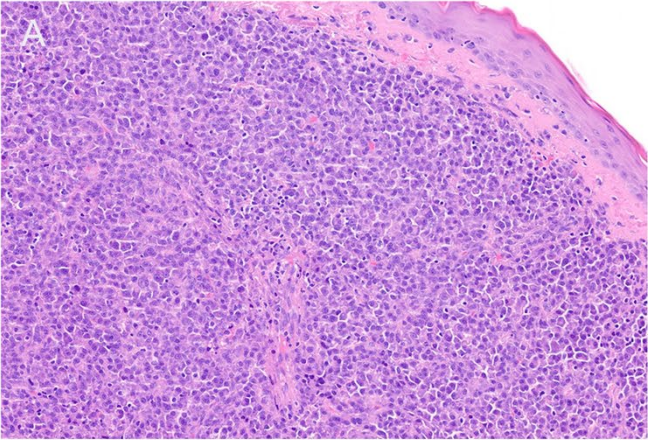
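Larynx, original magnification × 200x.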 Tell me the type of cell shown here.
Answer: Plasma cells.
